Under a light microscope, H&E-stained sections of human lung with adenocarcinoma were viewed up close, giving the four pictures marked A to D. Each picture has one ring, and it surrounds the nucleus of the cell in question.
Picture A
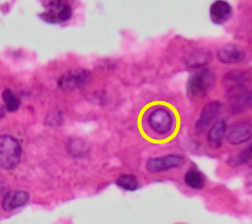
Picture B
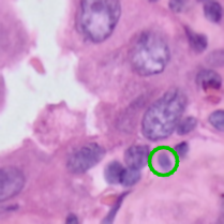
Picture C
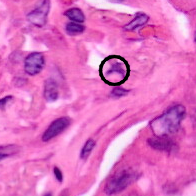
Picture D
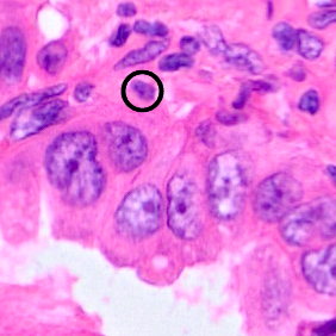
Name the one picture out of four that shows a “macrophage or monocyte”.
A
